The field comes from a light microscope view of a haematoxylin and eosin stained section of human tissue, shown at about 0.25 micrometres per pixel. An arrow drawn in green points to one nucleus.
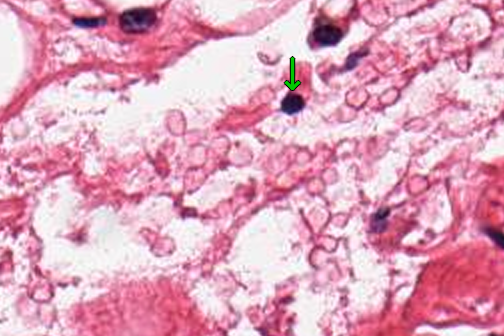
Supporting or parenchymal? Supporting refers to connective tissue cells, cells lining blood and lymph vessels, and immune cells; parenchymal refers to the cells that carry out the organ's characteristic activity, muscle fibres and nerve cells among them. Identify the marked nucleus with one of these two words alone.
supporting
